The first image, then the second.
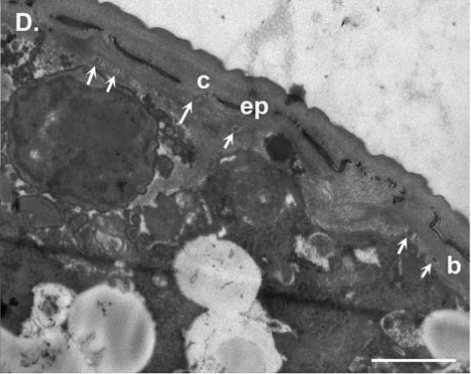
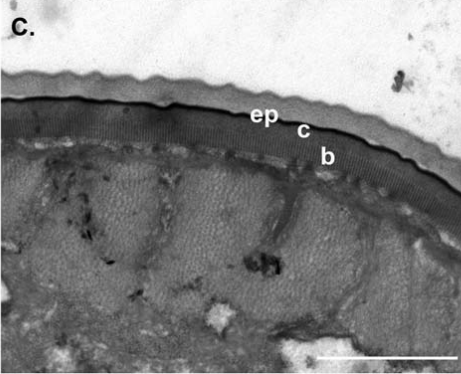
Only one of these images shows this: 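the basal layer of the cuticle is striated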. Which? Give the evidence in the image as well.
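First image: the deepest cuticle layer looks granular without regular bands. Second image: a band of fine regular vertical striations runs along the inner cuticle.
Answer: the second image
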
